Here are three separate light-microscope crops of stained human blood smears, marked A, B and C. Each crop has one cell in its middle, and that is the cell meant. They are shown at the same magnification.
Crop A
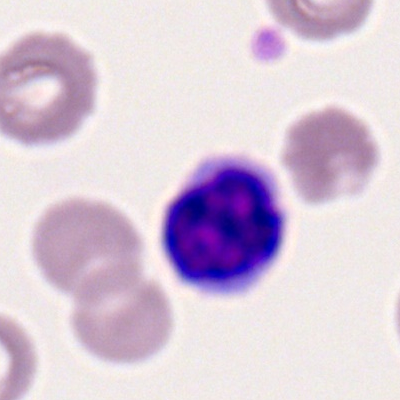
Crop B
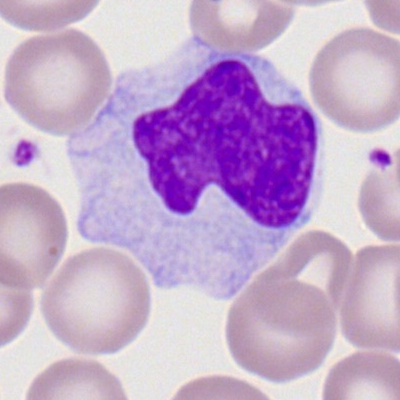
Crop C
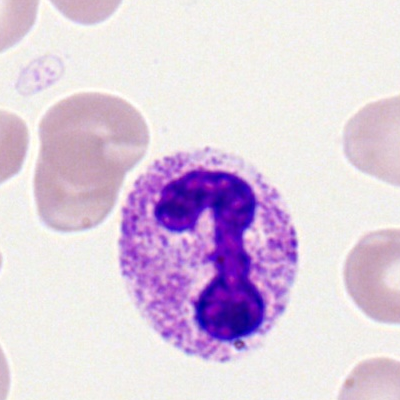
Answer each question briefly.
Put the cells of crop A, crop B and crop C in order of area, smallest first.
A, C, B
